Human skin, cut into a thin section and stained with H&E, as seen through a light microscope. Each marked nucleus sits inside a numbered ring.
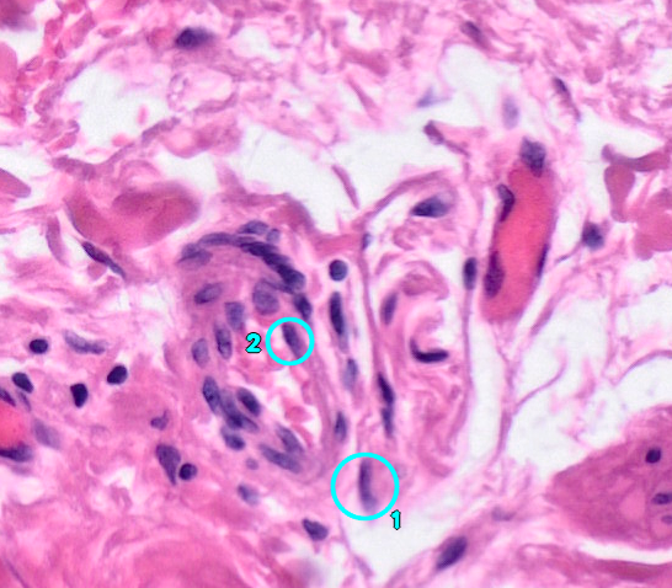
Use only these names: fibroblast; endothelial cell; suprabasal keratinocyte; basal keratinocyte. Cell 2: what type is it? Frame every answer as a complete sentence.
Cell 2 of the marked set is an endothelial cell.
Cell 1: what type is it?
The cell numbered 1 represents a fibroblast.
